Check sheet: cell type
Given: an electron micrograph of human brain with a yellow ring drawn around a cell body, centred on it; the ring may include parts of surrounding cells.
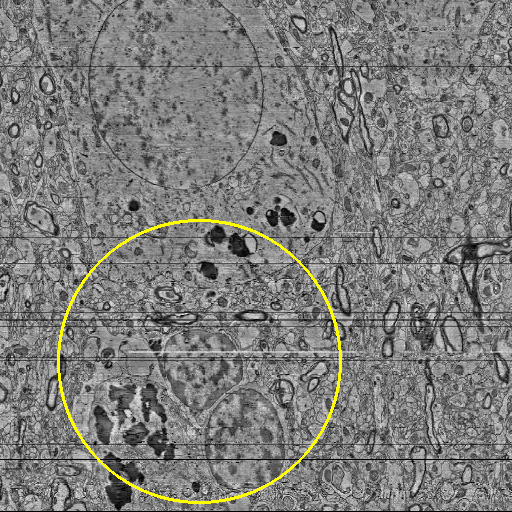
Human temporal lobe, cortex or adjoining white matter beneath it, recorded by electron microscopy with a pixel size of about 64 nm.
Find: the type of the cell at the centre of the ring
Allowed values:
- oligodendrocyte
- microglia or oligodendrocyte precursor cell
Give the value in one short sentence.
Here the ringed cell is a microglial cell or oligodendrocyte precursor cell.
